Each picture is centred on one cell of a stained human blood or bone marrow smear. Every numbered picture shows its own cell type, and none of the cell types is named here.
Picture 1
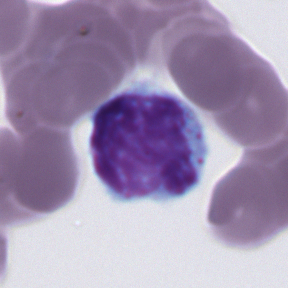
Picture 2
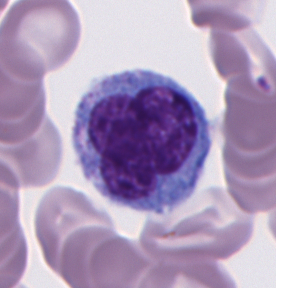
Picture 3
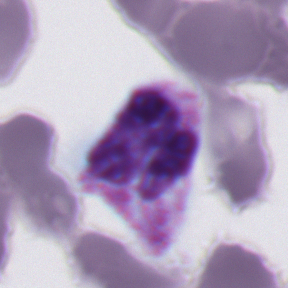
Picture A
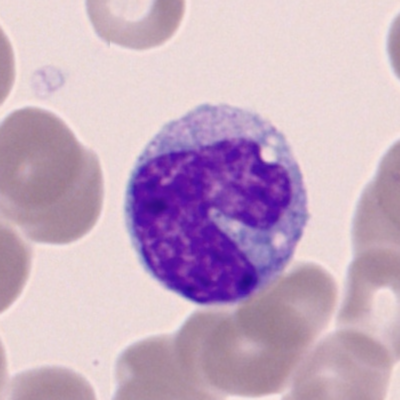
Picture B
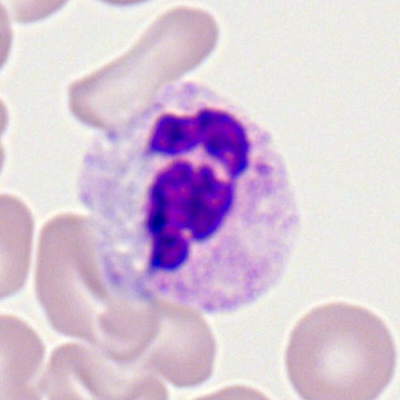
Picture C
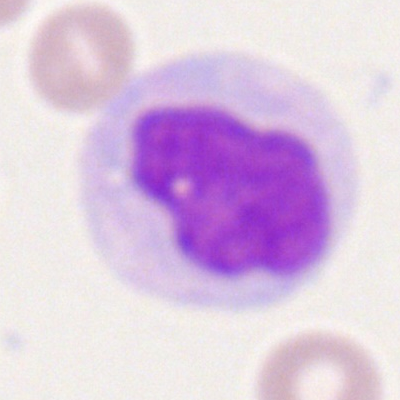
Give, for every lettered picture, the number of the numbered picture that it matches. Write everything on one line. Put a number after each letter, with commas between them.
A 2, B 3, C 2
